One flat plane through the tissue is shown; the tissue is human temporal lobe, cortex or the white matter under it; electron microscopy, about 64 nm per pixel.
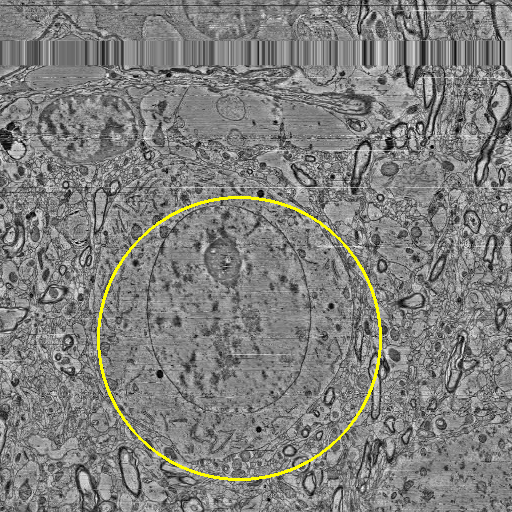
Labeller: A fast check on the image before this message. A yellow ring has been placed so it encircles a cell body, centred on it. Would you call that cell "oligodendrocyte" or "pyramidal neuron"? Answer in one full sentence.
In this image, a pyramidal neuron is the cell on which the yellow ring is centred.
